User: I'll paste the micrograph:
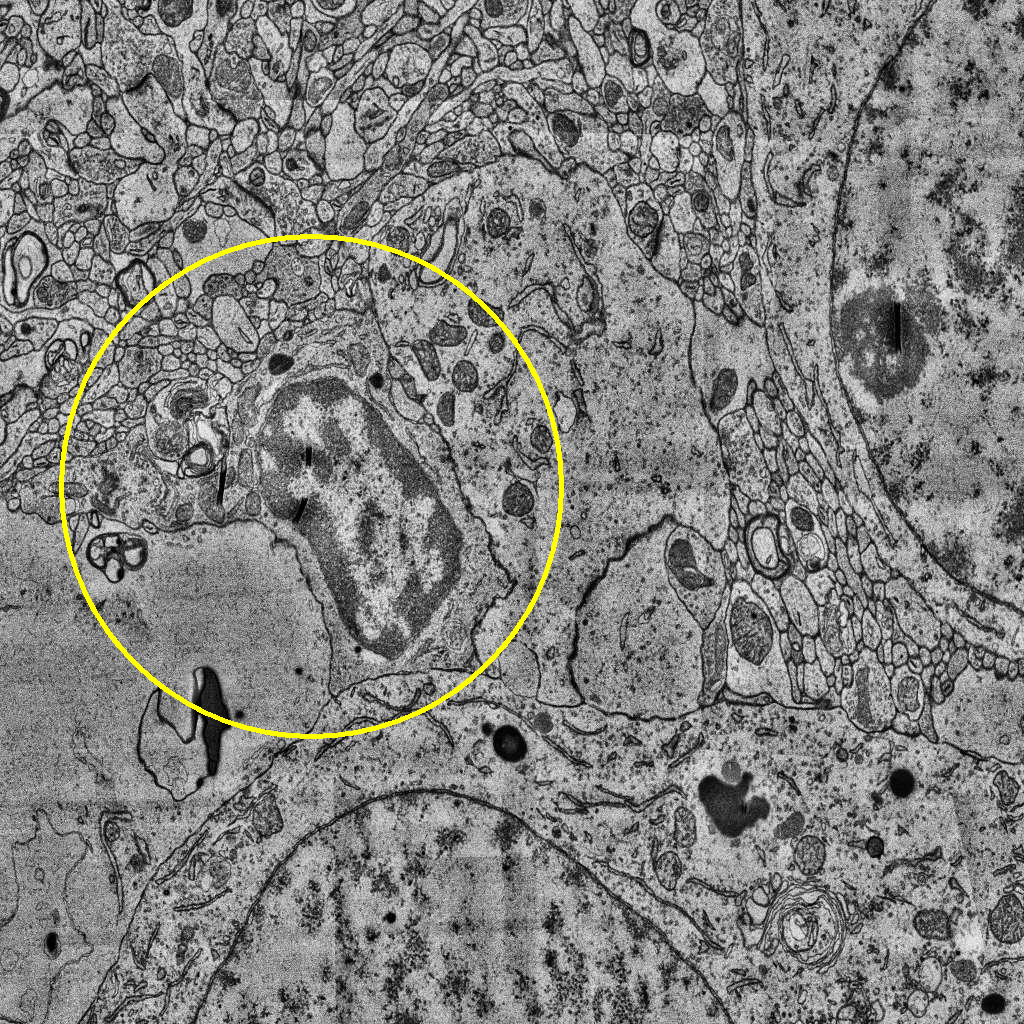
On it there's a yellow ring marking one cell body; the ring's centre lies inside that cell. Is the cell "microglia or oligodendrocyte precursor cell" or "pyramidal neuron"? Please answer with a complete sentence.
The cell at the centre of the yellow ring is a microglial cell or oligodendrocyte precursor cell.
